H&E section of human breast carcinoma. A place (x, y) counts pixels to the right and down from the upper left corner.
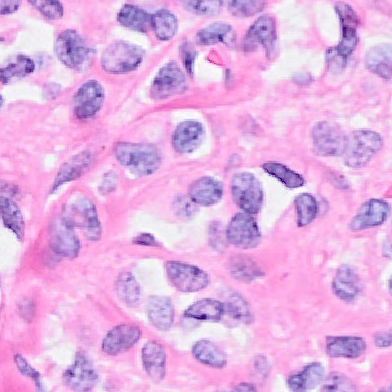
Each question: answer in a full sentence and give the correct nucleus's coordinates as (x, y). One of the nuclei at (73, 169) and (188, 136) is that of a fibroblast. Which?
At (73, 169) lies the nucleus that belongs to a fibroblast.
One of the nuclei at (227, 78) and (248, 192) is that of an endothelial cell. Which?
Of the two, the nucleus at (227, 78) is the one contained in an endothelial cell.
